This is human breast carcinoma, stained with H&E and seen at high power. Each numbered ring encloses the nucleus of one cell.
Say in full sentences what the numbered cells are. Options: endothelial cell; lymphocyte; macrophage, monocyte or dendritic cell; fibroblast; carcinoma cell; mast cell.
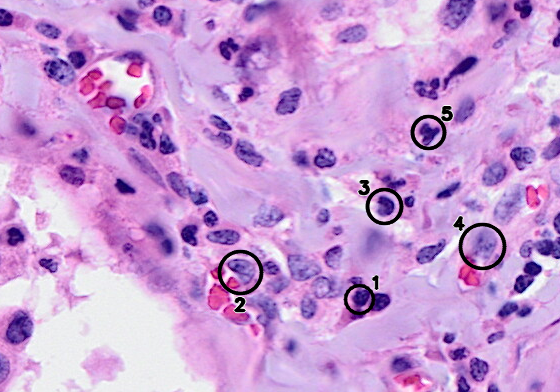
Cells 1, 3 and 5 are lymphocytes. Cells 2 and 4 are endothelial cells.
